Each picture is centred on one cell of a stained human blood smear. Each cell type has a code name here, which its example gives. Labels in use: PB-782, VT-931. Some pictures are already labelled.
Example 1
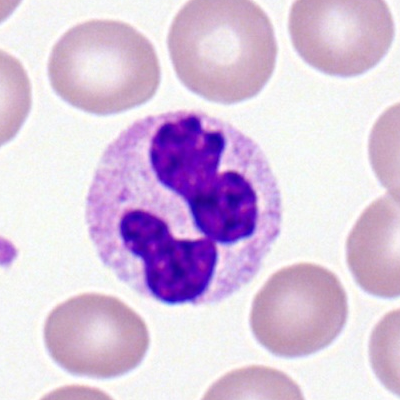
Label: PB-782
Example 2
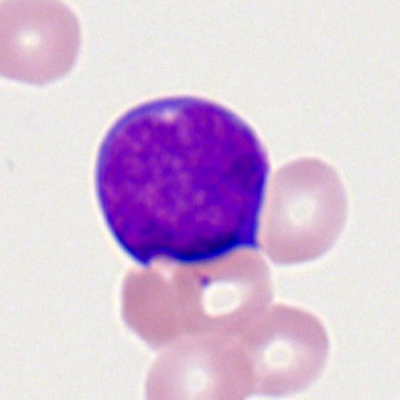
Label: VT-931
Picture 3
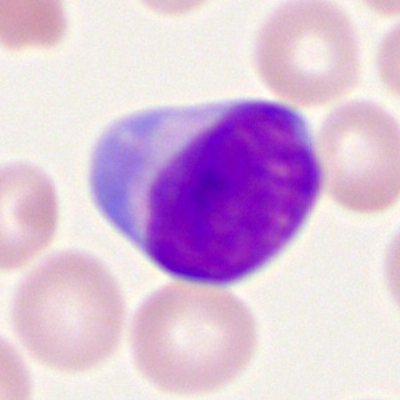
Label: VT-931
